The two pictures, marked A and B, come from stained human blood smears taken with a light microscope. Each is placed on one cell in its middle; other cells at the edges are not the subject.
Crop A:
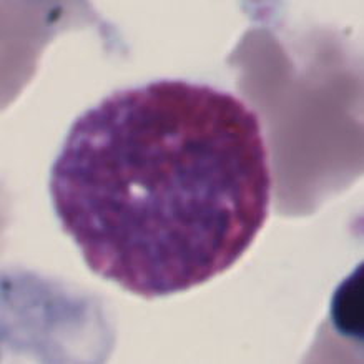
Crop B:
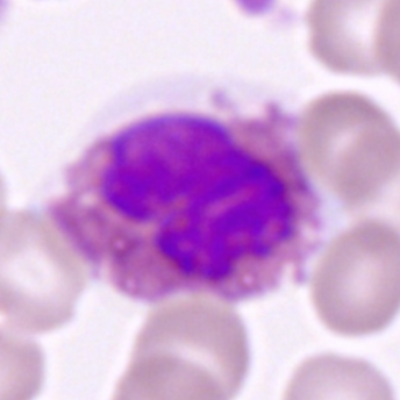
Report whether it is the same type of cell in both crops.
yes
